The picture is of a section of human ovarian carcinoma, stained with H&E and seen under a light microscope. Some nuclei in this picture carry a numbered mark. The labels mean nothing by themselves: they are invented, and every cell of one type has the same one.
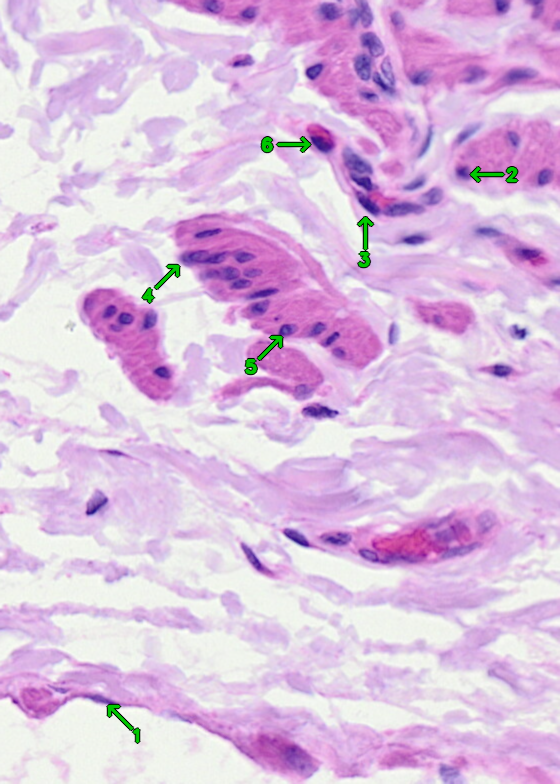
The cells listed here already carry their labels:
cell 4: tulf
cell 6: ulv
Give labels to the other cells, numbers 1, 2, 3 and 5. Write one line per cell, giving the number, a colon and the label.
1: ulv
2: tulf
3: ulv
5: tulf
